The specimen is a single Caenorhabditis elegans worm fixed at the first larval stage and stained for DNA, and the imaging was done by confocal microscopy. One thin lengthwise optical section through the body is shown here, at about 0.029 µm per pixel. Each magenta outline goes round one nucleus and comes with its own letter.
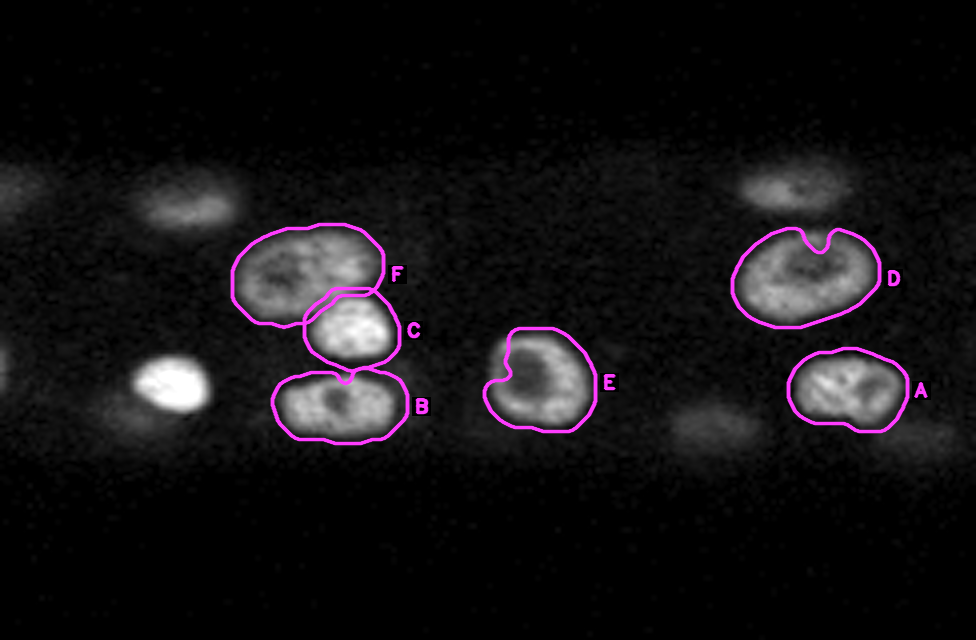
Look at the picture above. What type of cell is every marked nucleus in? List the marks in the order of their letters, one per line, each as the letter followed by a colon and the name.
A: P cell (ventral epidermal blast cell)
B: P cell (ventral epidermal blast cell)
C: neuron
D: hypodermal cell (hyp)
E: seam cell
F: hypodermal cell (hyp)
